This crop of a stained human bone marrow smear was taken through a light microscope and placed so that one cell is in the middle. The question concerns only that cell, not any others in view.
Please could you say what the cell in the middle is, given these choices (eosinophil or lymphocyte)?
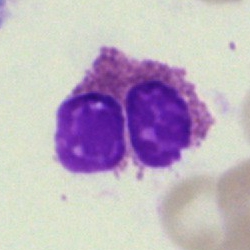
eosinophil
